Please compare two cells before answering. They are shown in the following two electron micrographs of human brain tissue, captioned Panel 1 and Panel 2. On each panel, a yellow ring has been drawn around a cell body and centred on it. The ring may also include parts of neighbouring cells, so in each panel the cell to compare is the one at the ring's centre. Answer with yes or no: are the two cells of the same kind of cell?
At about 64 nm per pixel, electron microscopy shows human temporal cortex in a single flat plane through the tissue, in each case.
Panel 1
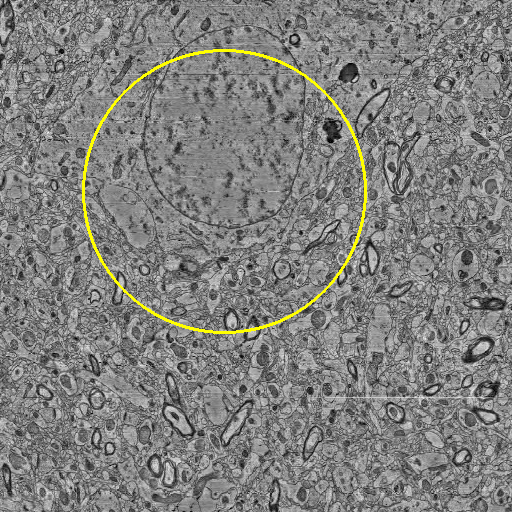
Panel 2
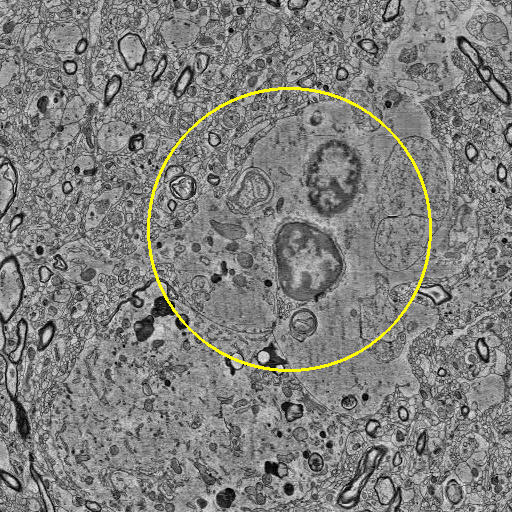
no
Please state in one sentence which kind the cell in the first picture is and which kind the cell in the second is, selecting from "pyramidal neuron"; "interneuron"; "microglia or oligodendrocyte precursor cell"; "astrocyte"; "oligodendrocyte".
The first ringed cell is a pyramidal neuron, the second ringed cell a microglial cell or oligodendrocyte precursor cell.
